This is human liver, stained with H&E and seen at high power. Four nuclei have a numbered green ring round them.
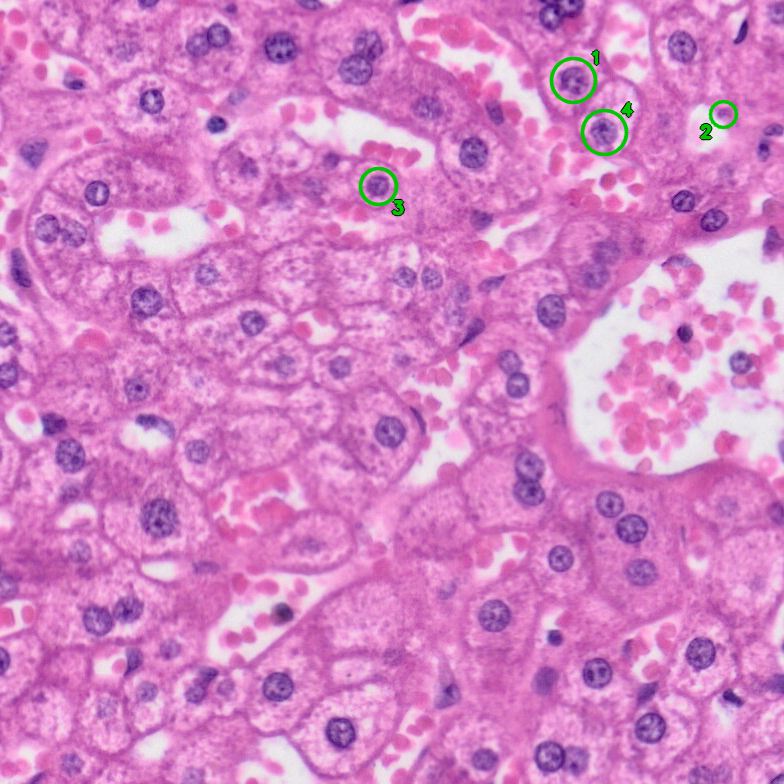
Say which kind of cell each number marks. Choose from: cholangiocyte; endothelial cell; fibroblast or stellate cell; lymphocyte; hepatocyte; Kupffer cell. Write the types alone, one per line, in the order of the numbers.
hepatocyte
Kupffer cell
hepatocyte
hepatocyte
